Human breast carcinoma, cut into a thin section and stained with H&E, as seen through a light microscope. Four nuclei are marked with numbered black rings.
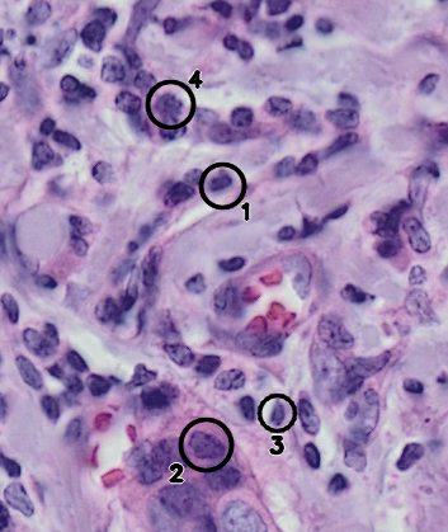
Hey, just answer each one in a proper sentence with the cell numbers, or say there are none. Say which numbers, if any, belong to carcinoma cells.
Cell 2 is the single numbered cell that is a carcinoma cell.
